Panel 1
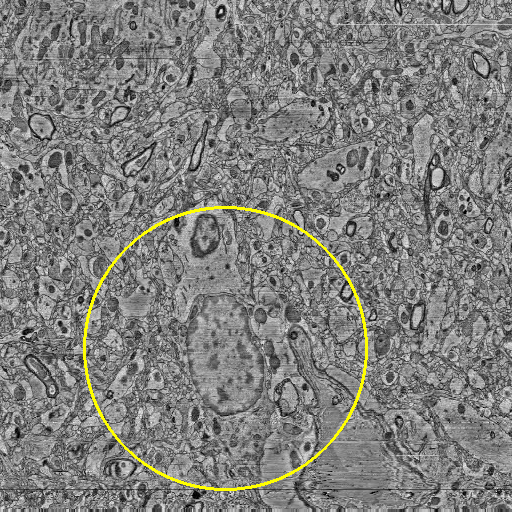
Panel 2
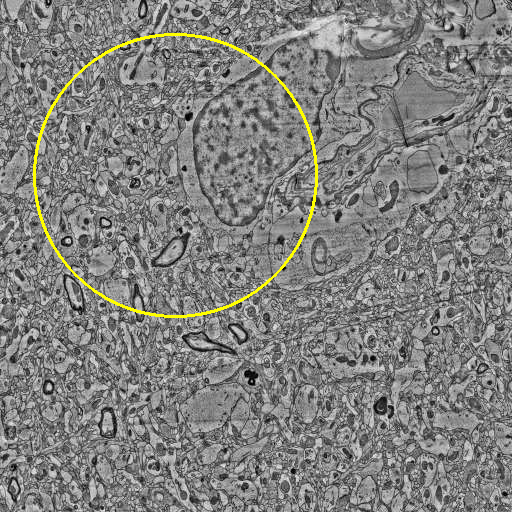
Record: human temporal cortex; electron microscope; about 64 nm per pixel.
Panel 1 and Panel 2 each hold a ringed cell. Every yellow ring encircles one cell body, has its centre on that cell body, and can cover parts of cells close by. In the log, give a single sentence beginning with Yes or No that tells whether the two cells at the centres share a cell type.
Yes, in Panel 1 and Panel 2 the centred cells share a cell type.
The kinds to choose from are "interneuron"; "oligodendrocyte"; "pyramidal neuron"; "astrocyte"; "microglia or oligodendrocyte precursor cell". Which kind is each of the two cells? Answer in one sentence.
Each of the two pictures has an oligodendrocyte at the ring centre.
